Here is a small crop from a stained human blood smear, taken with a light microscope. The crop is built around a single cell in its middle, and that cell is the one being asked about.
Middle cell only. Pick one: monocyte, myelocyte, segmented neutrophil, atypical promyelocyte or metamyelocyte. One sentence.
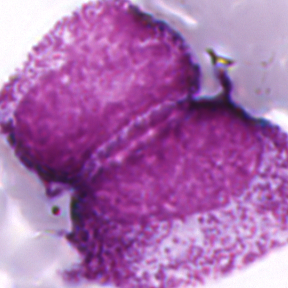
Centred in the crop is a myelocyte.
